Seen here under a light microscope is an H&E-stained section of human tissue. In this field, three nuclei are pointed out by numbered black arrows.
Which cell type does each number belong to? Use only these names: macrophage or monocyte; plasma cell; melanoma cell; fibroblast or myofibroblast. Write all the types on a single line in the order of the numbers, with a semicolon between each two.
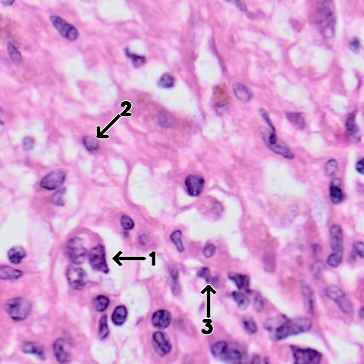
melanoma cell; macrophage or monocyte; fibroblast or myofibroblast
